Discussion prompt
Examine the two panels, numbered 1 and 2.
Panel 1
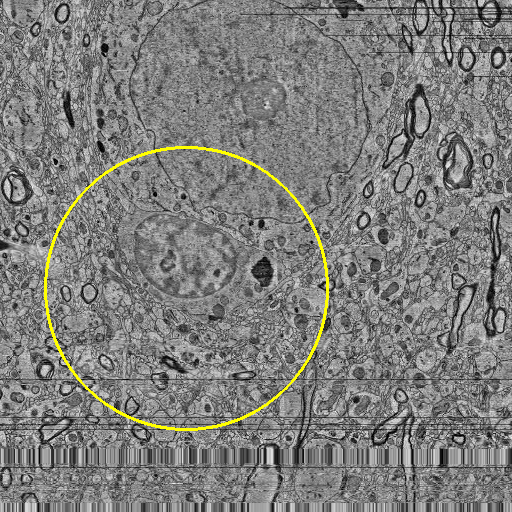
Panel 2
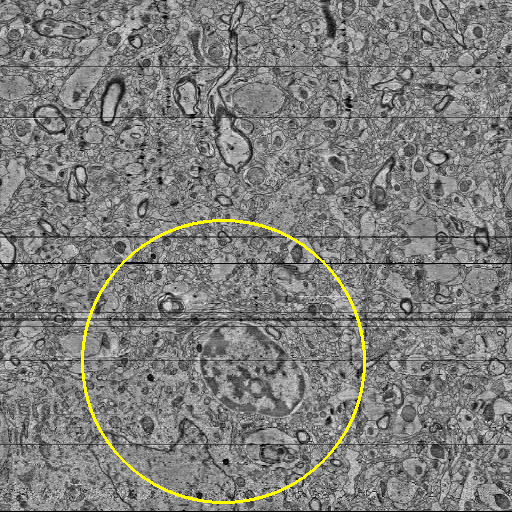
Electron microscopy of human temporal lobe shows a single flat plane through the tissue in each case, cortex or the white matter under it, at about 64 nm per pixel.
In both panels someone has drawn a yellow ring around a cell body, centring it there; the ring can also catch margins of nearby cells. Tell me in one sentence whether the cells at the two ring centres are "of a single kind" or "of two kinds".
Taken together, the two cells centred in the rings of Panels 1 and 2 are of two kinds.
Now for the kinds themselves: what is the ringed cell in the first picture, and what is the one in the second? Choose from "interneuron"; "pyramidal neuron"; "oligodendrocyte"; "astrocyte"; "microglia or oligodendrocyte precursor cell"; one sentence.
Here the first cell is an oligodendrocyte and the second cell is a microglial cell or oligodendrocyte precursor cell.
